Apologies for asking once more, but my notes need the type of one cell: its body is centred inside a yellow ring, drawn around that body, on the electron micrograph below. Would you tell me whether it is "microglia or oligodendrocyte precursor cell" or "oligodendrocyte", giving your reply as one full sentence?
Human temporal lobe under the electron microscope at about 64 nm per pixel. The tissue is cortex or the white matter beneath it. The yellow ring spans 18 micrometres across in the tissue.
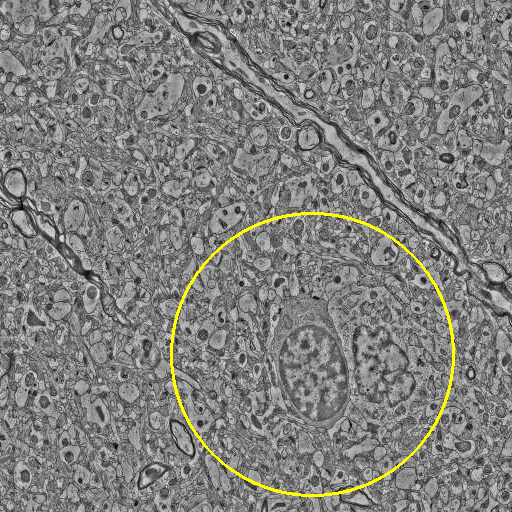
The cell that the yellow ring is centred on is an oligodendrocyte in this micrograph.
